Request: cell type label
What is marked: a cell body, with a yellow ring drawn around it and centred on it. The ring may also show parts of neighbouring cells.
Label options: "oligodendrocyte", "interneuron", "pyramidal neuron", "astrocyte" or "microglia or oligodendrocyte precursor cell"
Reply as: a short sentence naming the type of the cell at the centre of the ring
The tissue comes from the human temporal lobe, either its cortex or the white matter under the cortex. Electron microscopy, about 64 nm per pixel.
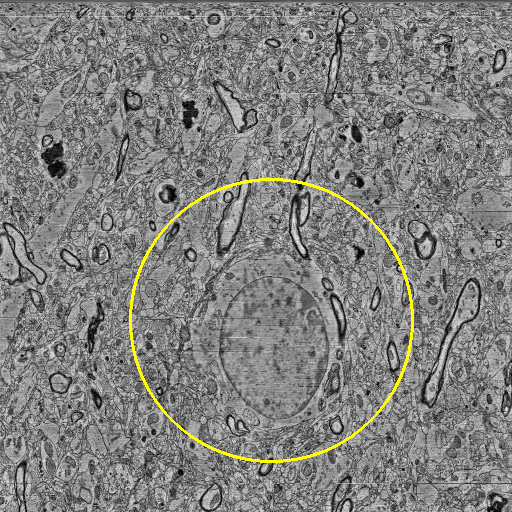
The marked cell body is that of an astrocyte.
